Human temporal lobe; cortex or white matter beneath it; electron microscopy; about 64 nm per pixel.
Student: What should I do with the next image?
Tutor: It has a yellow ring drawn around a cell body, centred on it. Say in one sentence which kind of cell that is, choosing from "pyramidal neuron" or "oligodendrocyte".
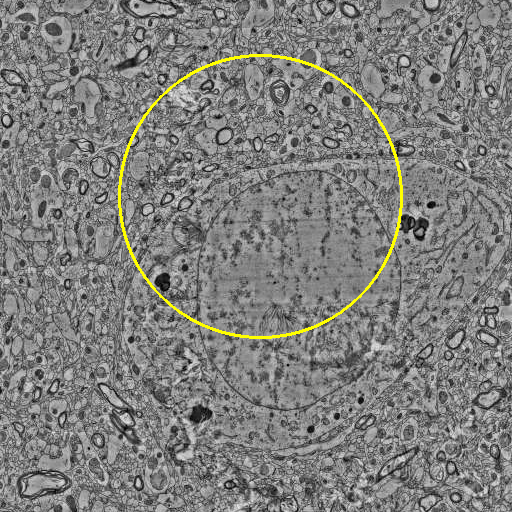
The ring's centre is occupied by a pyramidal neuron.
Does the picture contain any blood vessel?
No.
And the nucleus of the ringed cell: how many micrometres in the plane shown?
The nucleus works out at approximately 15 by 13 micrometres in this plane.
